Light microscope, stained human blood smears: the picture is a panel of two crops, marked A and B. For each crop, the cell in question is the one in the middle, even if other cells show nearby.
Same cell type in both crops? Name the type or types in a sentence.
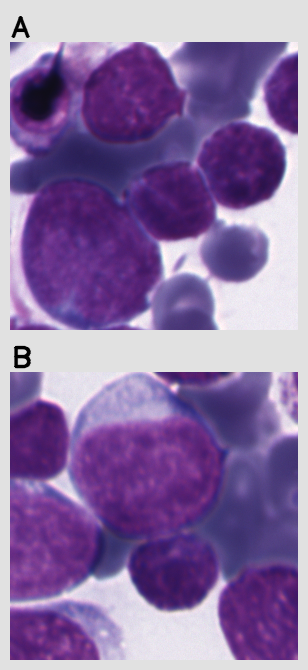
Yes, both crops show myeloblasts in the middle.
